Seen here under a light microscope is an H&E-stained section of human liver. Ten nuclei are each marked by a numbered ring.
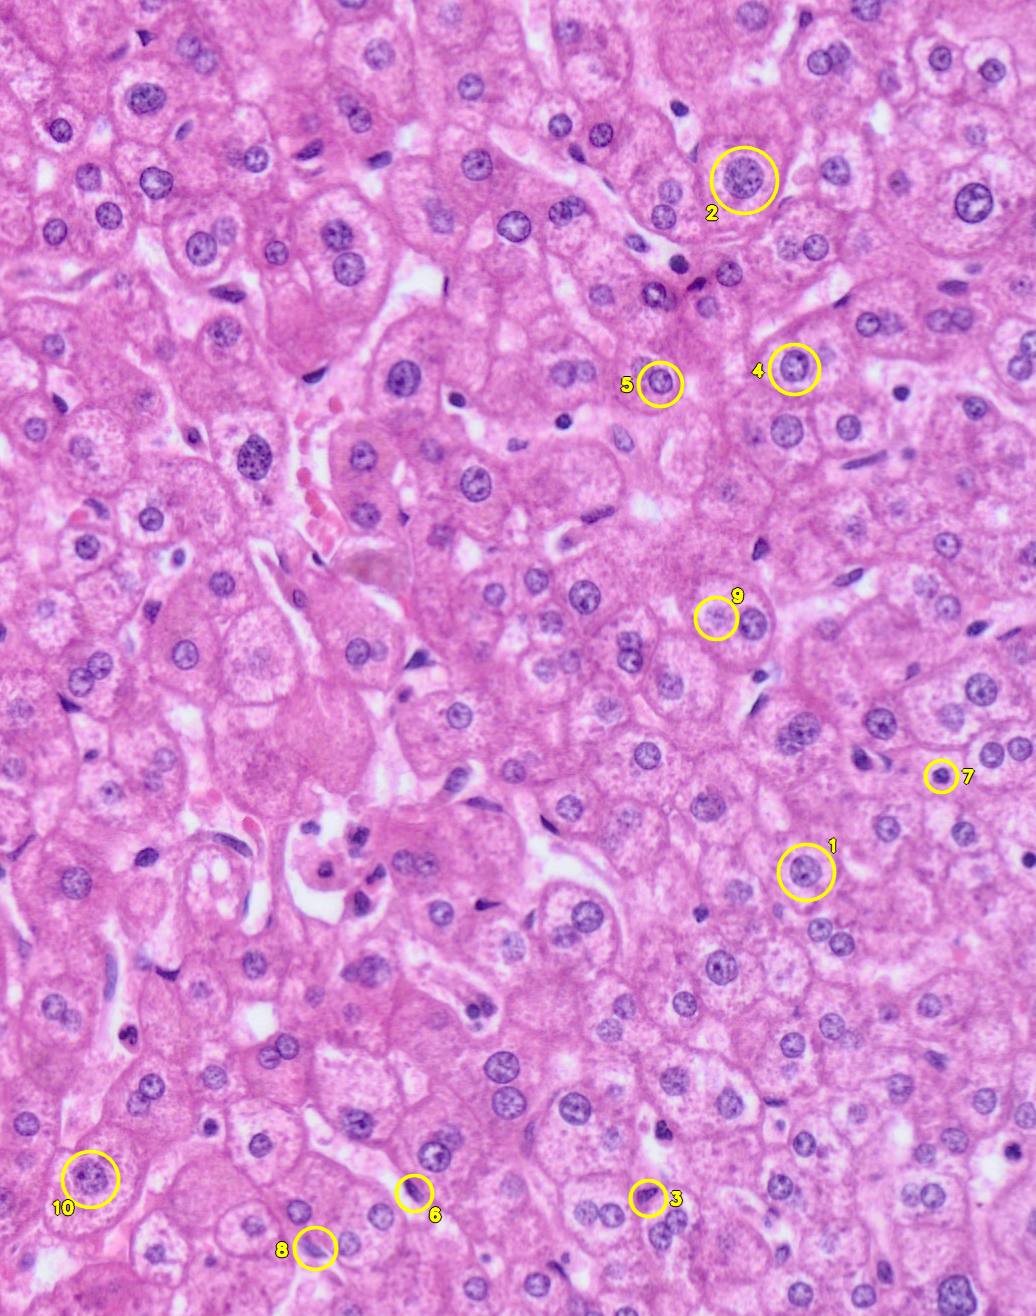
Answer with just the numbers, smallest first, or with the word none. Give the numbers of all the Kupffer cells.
6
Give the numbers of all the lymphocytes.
7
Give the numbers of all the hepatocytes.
1, 2, 4, 5, 9, 10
